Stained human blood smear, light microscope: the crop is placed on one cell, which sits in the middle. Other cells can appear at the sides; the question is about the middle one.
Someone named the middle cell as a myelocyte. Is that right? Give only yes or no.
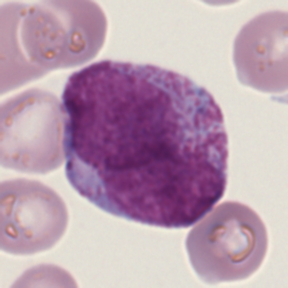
no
